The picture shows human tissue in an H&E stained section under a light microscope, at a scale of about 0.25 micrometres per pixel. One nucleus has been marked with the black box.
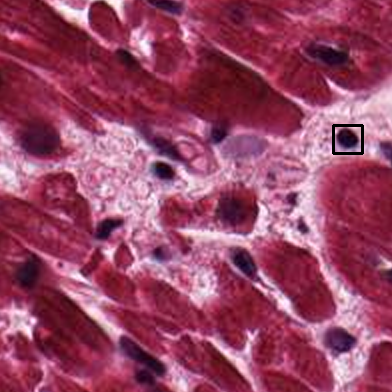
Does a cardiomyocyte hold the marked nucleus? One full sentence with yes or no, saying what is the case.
No, the marked nucleus is found in a supporting cell instead of in a cardiomyocyte.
